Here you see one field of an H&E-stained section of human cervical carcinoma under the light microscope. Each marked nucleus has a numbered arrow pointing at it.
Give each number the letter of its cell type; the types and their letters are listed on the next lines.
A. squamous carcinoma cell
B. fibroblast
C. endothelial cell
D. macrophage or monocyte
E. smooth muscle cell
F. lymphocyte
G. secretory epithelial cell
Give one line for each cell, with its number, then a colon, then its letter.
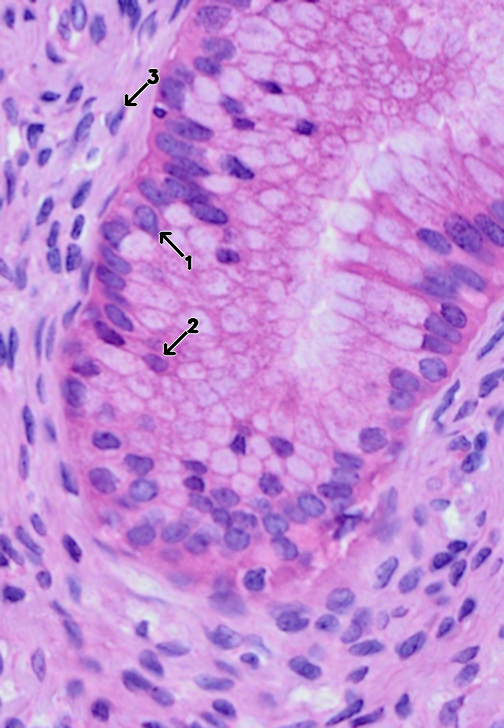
1: G
2: G
3: B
